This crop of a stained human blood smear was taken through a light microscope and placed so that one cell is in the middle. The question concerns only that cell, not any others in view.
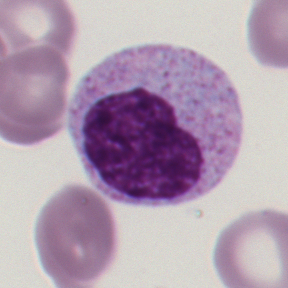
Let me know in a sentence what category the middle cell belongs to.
The central cell in this smear crop is a metamyelocyte.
